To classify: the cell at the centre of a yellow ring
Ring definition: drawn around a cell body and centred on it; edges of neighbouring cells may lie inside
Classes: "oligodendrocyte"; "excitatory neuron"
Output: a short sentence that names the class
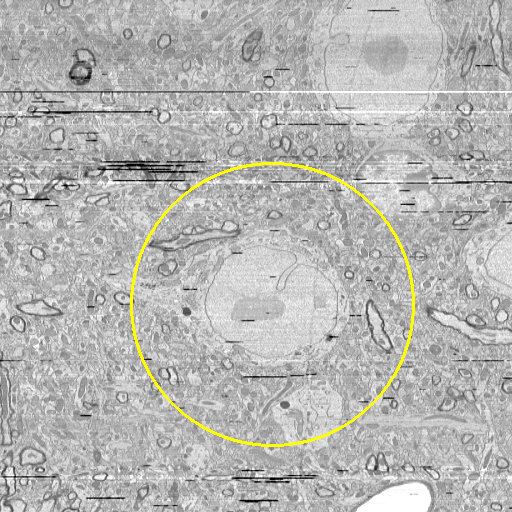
The ringed cell is an excitatory neuron.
